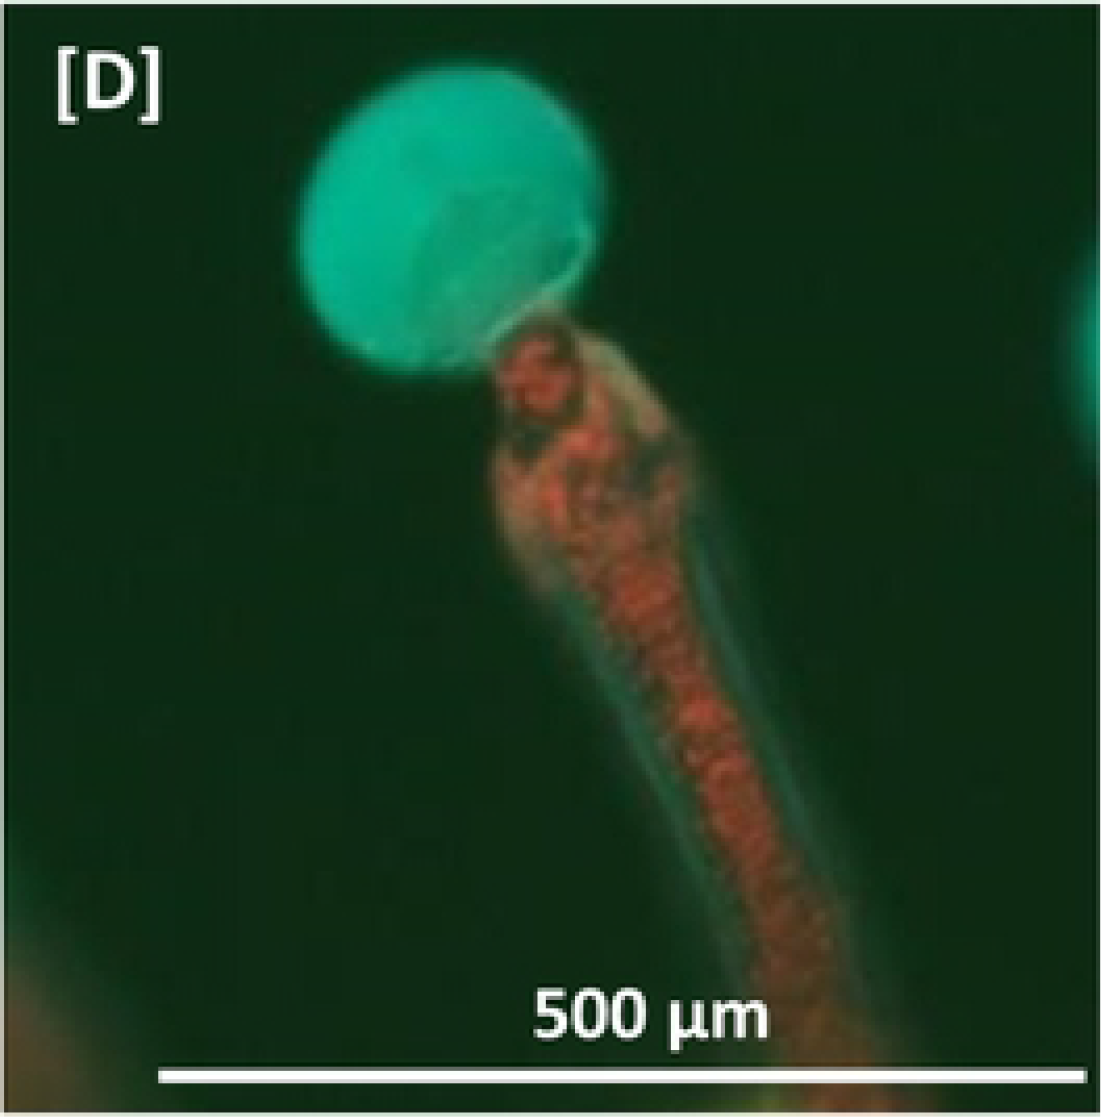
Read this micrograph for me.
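This fluorescence image shows a capitate-stalked glandular trichome with its gland intact: a round head borne on a long, tapering multicellular stalk. A narrow neck joins the stalk to the head, and the stalk is slightly wider just below this neck than further down.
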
